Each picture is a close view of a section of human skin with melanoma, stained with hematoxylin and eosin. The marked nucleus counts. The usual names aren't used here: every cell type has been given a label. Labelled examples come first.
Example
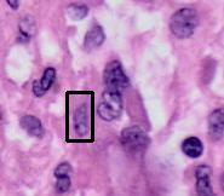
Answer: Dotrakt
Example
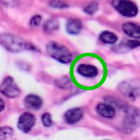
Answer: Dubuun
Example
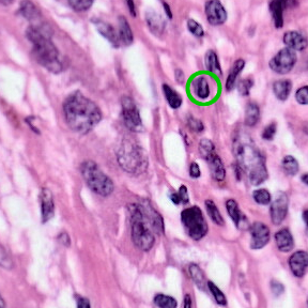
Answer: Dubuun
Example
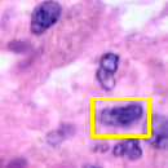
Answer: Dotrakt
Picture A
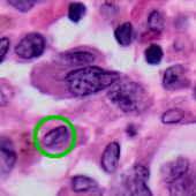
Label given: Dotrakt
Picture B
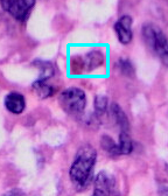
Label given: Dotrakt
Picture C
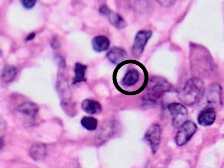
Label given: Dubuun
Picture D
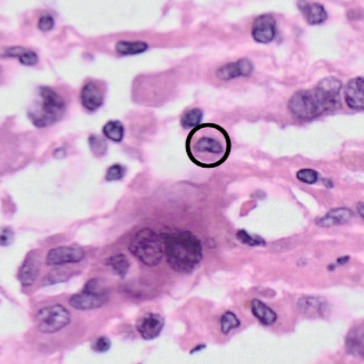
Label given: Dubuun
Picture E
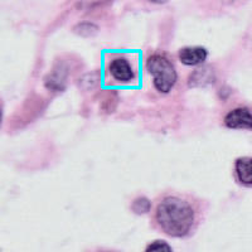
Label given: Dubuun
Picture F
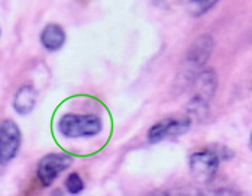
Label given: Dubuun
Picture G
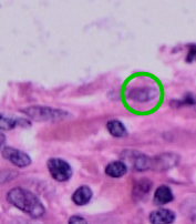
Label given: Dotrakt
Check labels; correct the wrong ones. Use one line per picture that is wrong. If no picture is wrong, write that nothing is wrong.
D should be Dotrakt, not Dubuun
